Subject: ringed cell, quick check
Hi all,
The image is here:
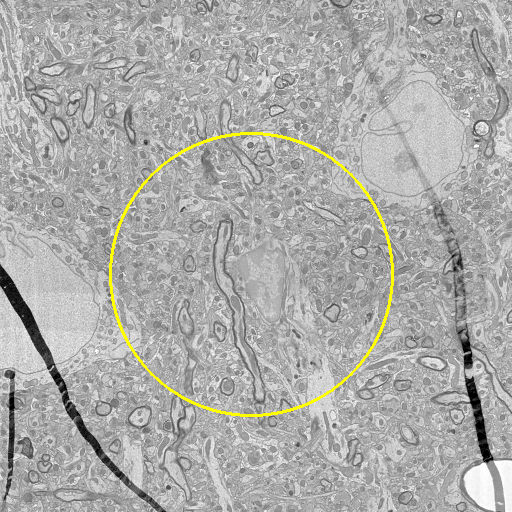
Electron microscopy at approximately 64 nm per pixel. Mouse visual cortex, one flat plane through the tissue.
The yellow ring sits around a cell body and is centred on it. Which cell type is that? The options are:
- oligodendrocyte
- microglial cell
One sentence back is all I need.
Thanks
That ringed cell is a microglial cell.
